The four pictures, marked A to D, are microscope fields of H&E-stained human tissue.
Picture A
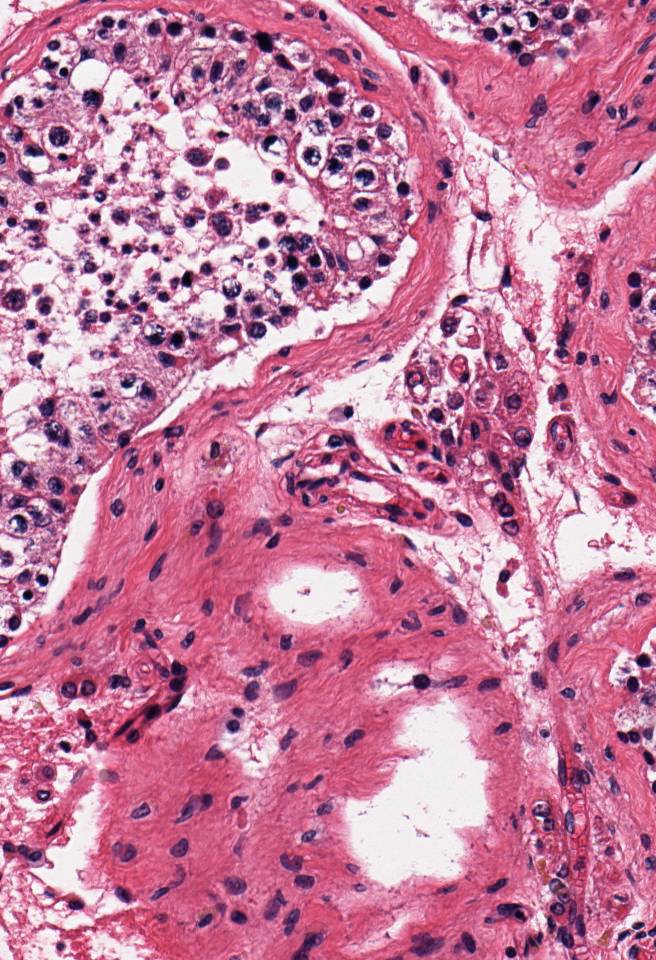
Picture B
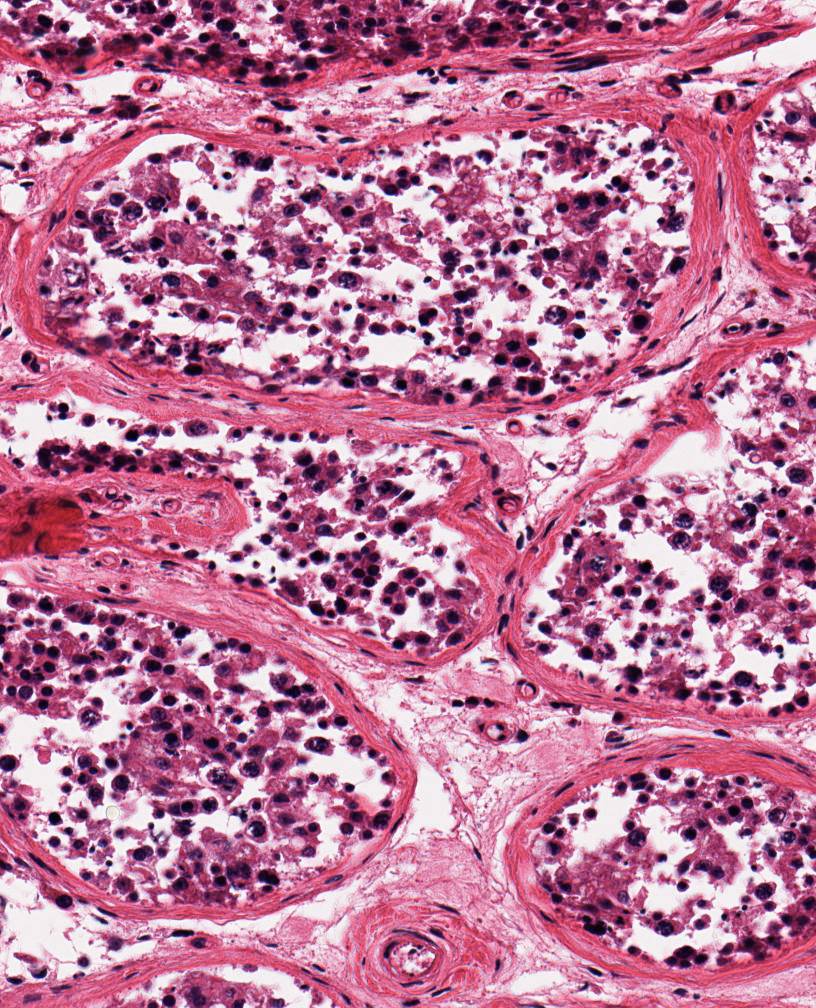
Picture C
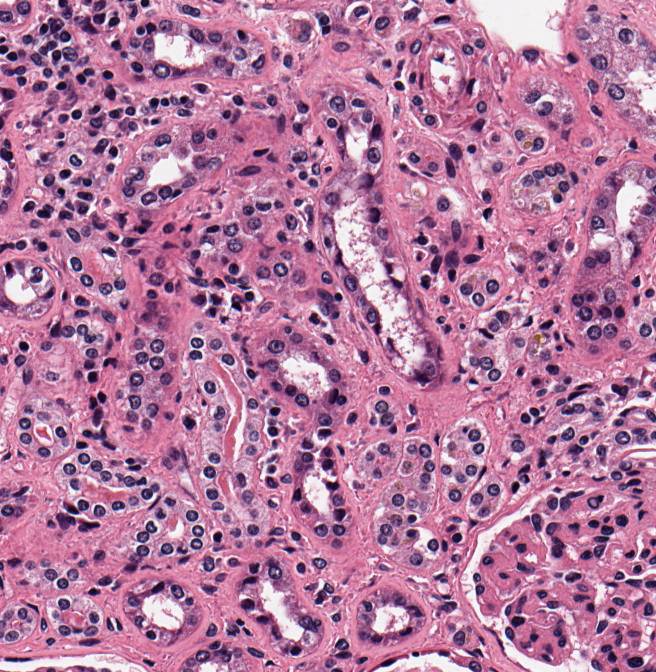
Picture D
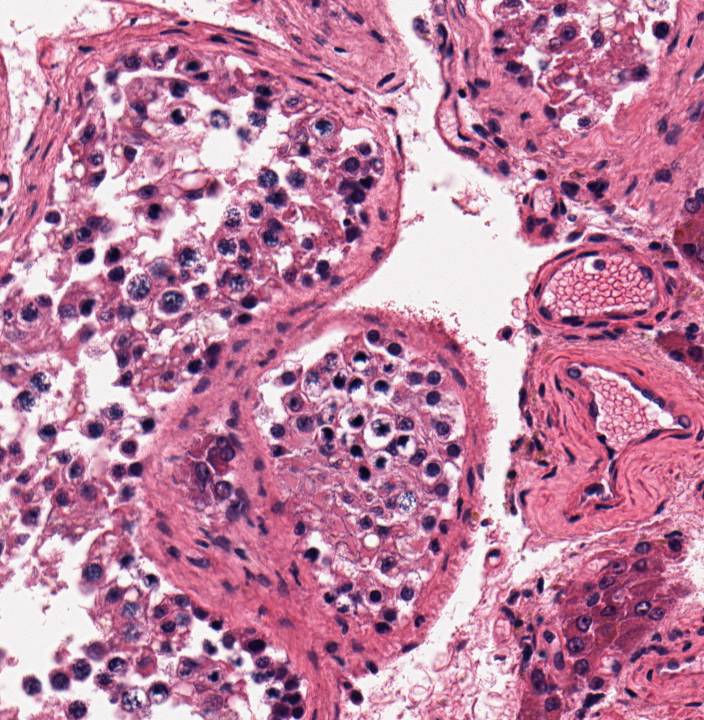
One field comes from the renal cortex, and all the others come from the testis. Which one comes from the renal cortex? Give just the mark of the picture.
C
